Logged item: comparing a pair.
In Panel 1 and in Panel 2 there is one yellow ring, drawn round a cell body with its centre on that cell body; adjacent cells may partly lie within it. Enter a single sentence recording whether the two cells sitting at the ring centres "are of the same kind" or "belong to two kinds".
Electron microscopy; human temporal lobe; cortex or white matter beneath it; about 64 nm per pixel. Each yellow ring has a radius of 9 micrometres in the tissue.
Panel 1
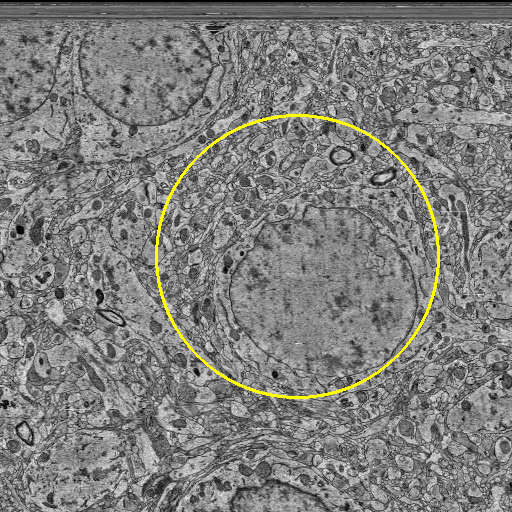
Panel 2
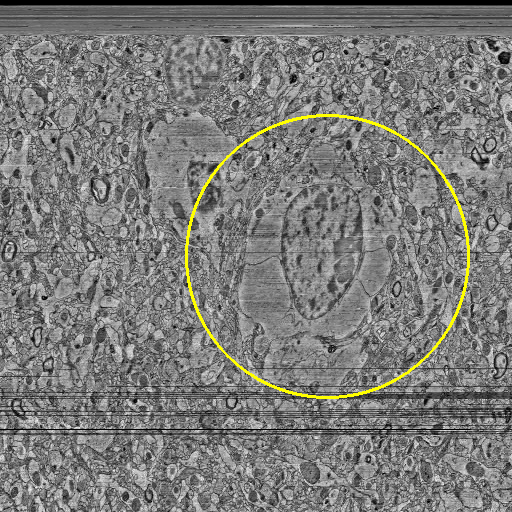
Logged: the cells centred in the rings of Panel 1 and Panel 2 belong to two kinds.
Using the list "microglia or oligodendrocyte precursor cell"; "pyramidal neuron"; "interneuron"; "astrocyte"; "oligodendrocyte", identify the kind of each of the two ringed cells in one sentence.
The first is a pyramidal neuron and the second is an astrocyte.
